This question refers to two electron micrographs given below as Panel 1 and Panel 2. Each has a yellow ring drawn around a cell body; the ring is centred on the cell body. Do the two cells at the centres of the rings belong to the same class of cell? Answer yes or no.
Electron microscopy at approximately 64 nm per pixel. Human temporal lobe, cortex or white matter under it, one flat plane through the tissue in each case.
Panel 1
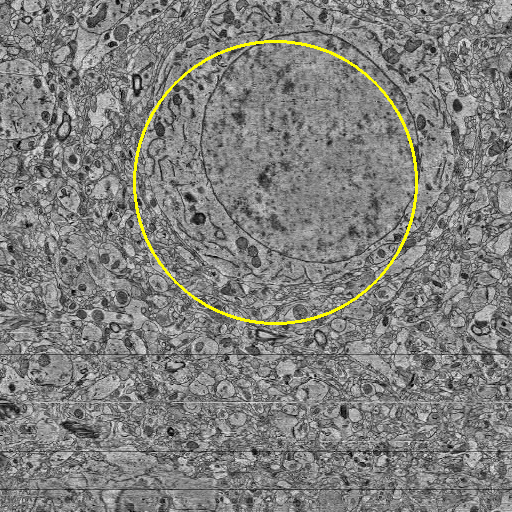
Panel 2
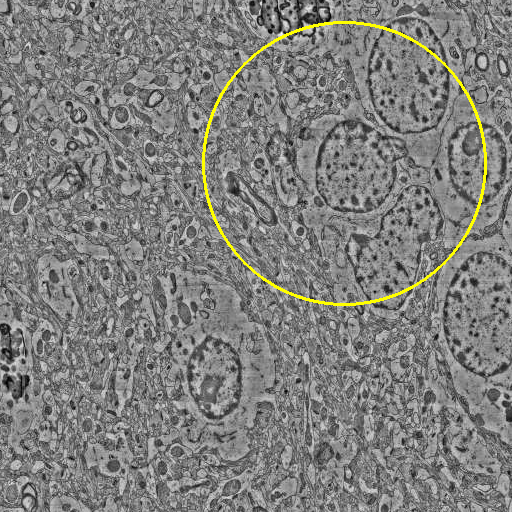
no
